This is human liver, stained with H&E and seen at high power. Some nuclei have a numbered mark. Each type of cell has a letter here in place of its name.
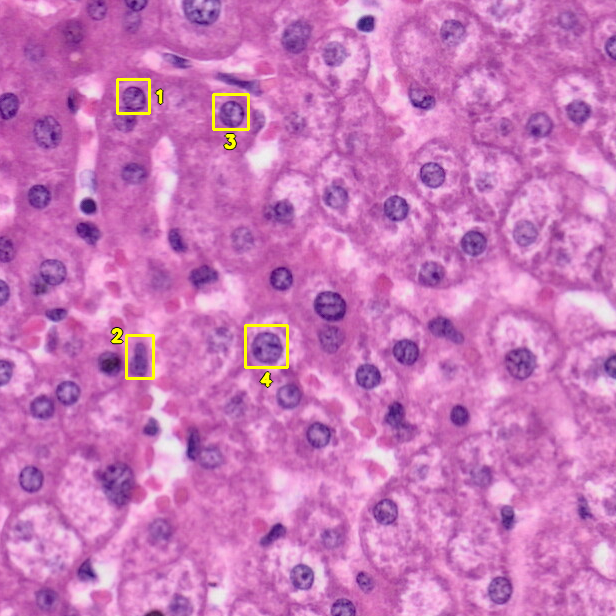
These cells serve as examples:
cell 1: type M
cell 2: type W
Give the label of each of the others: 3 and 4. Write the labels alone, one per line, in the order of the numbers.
type M
type M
